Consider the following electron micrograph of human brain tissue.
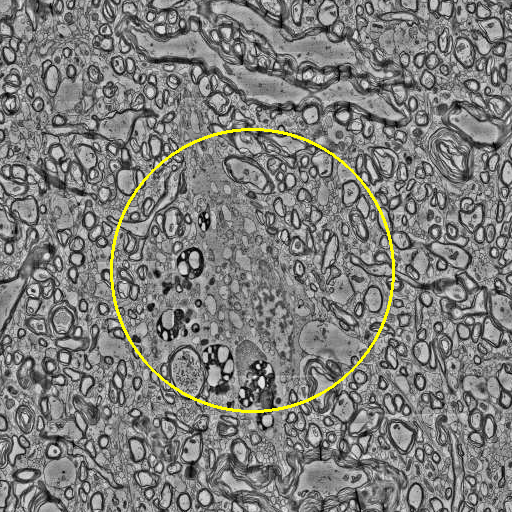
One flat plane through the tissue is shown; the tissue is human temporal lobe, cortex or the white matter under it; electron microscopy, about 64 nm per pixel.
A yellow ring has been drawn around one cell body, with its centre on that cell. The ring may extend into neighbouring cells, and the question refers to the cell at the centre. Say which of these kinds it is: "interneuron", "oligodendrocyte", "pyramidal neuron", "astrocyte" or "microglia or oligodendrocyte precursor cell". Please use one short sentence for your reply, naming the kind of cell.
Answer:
The centre of the ring falls on an astrocyte.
